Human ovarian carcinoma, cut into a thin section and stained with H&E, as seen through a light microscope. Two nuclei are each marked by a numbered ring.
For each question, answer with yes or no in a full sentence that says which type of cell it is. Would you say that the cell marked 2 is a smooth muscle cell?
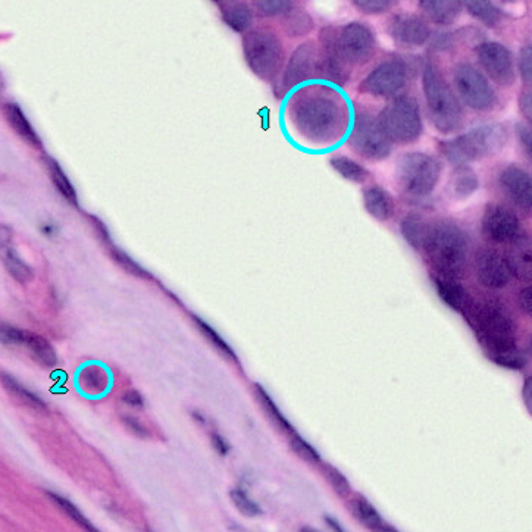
Yes, the cell that number 2 points to is a smooth muscle cell.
